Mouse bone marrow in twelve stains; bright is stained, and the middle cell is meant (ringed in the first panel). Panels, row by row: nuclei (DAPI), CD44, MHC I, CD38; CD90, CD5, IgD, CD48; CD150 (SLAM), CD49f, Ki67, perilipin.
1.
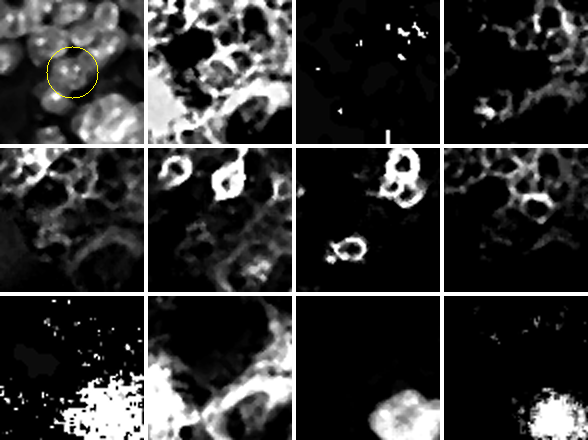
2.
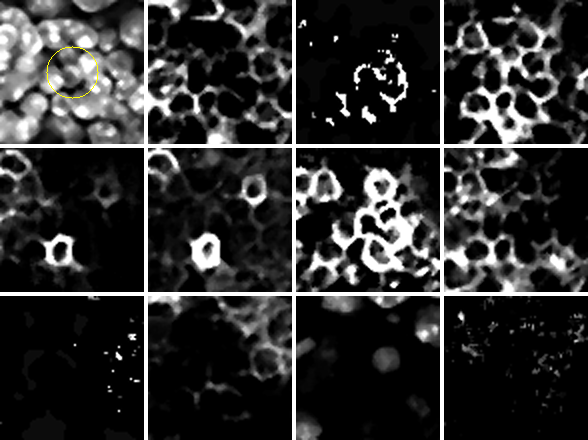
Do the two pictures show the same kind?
No: a neutrophil, then a B cell.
